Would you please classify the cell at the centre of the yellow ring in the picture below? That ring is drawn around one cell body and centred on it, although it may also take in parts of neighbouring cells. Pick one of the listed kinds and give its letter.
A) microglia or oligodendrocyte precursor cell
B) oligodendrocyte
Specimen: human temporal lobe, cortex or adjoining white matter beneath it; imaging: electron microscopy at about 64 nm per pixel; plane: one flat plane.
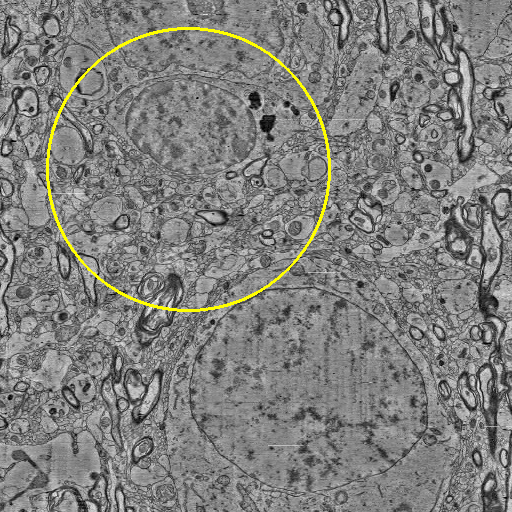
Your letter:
B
